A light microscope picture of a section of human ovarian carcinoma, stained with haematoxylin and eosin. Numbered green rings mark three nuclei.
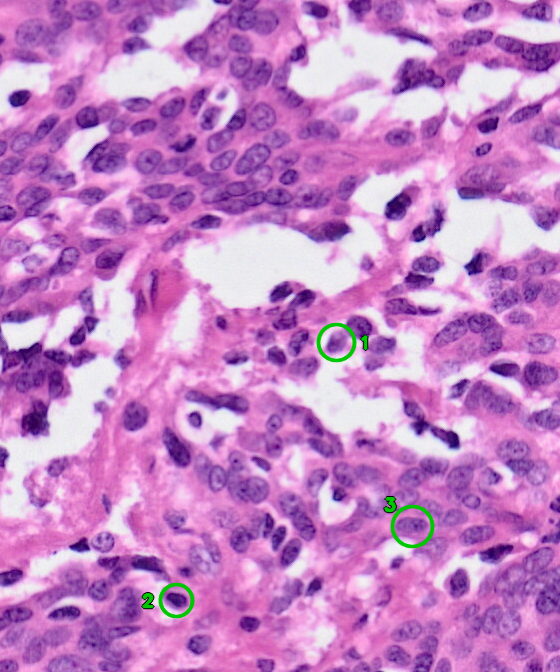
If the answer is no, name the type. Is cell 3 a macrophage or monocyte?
Yes.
